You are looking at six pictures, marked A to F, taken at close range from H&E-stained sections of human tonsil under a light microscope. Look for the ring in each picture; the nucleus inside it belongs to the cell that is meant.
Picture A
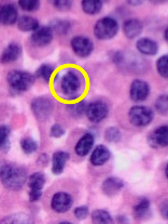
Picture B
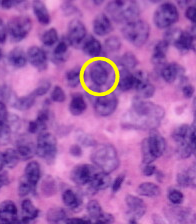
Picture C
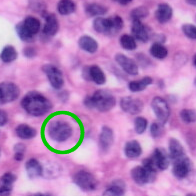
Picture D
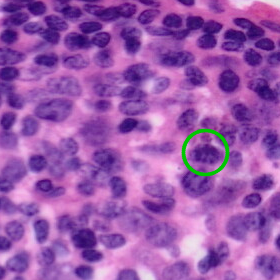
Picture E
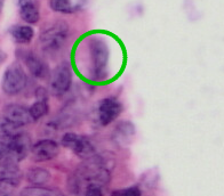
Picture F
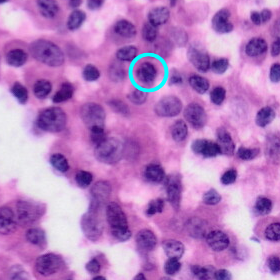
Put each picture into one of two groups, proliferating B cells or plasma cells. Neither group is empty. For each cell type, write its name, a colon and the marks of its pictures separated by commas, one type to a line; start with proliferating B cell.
proliferating B cell: B, C, D, E
plasma cell: A, F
